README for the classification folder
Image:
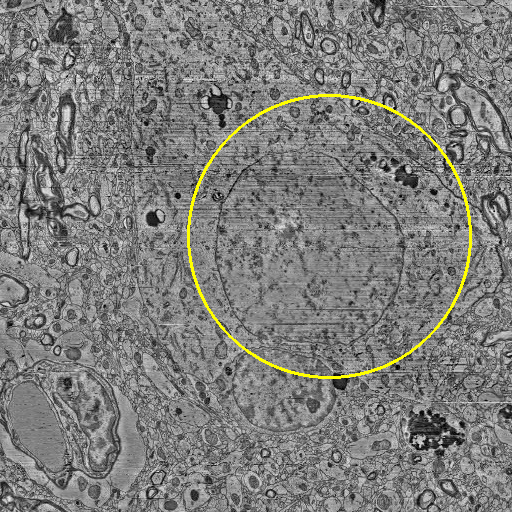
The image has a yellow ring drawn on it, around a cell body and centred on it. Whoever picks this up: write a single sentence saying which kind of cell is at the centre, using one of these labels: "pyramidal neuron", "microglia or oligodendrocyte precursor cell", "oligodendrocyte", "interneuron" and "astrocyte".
This cell body is that of a pyramidal neuron.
